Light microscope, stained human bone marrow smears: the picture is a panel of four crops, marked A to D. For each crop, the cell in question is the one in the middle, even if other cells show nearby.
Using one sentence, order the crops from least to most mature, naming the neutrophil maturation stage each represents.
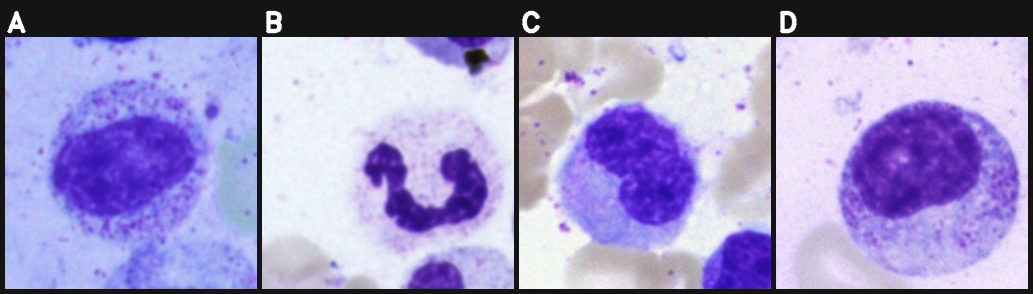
The arrangement from least to most mature is crop D (a promyelocyte), crop A (a myelocyte), crop C (a metamyelocyte) and crop B (a segmented neutrophil).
